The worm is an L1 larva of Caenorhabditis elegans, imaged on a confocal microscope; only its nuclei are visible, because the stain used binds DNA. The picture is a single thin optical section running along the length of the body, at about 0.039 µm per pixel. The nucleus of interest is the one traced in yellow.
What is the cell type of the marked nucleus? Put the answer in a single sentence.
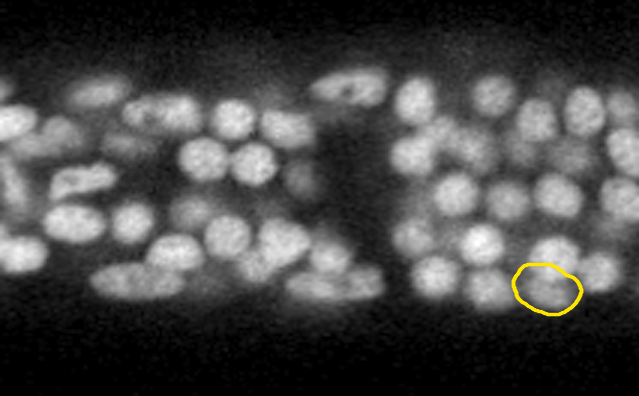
What is marked is the nucleus of a neuron.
